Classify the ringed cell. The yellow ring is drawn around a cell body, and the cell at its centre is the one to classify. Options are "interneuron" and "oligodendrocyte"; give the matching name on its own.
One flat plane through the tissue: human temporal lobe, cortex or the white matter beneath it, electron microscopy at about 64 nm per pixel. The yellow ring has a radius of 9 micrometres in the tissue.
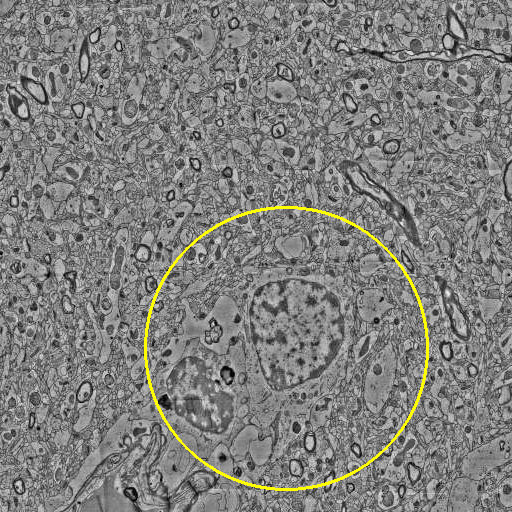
interneuron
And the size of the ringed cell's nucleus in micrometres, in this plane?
Roughly 7 micrometres across for the nucleus, in this plane.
